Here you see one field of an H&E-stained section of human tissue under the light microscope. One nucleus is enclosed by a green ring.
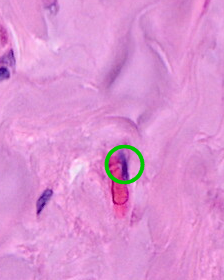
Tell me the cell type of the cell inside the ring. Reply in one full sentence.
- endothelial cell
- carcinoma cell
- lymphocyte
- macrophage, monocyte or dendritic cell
In this section, the cell inside the ring is an endothelial cell.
